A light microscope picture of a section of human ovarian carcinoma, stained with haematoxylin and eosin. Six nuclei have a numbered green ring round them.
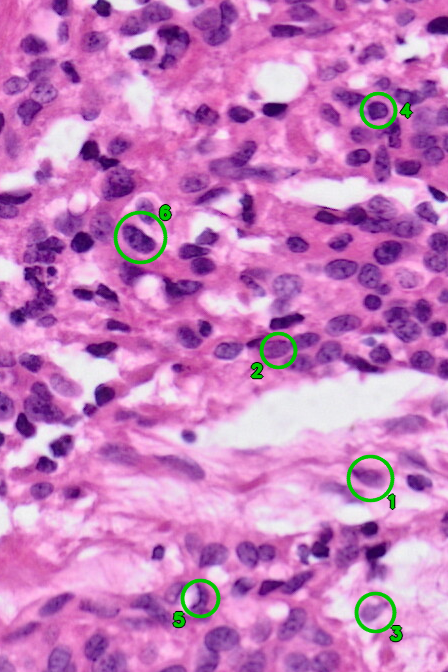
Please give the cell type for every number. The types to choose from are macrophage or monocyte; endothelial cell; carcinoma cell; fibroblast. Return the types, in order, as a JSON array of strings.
["fibroblast", "carcinoma cell", "fibroblast", "macrophage or monocyte", "endothelial cell", "macrophage or monocyte"]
